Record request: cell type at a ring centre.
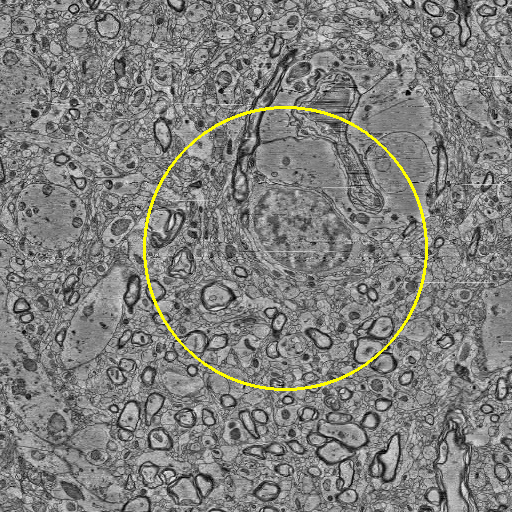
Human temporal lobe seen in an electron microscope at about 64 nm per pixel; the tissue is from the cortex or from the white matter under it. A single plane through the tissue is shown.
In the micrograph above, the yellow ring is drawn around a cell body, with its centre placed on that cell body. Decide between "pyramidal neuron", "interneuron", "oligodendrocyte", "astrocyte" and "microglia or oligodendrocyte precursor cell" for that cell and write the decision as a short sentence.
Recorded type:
The cell centred in the yellow ring is an oligodendrocyte.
